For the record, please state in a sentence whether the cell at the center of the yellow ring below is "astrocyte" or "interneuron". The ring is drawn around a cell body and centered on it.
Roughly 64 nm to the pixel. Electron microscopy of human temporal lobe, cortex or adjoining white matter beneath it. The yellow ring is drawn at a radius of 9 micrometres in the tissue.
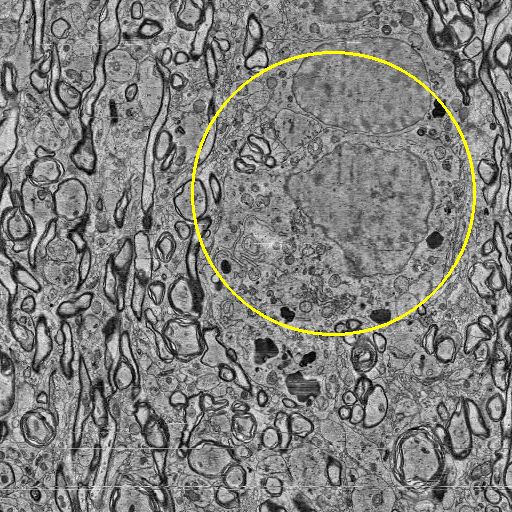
The cell at the ring's center is an interneuron.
